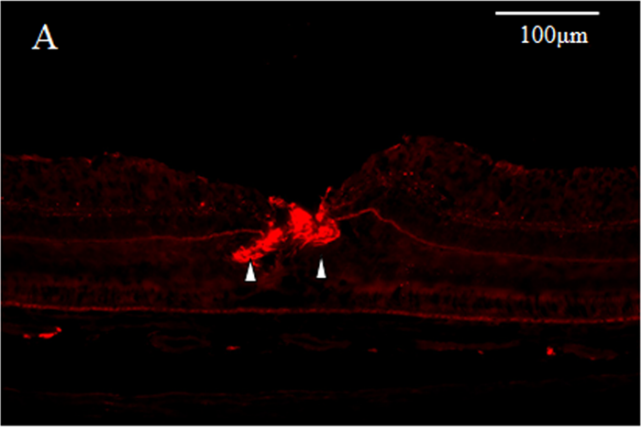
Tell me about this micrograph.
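This is a vertical cross section through the central retina, with the foveal pit at the middle of the field. The retina on either side is built of several faint horizontal bands that converge toward the pit. Most of the tissue glows only weakly red. At the centre of the pit, however, a dense, bright red mass sits in the retinal tissue, with thin bright strands reaching up toward the inner surface. Below the retina a thin red line and scattered small red spots mark the deeper layers.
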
